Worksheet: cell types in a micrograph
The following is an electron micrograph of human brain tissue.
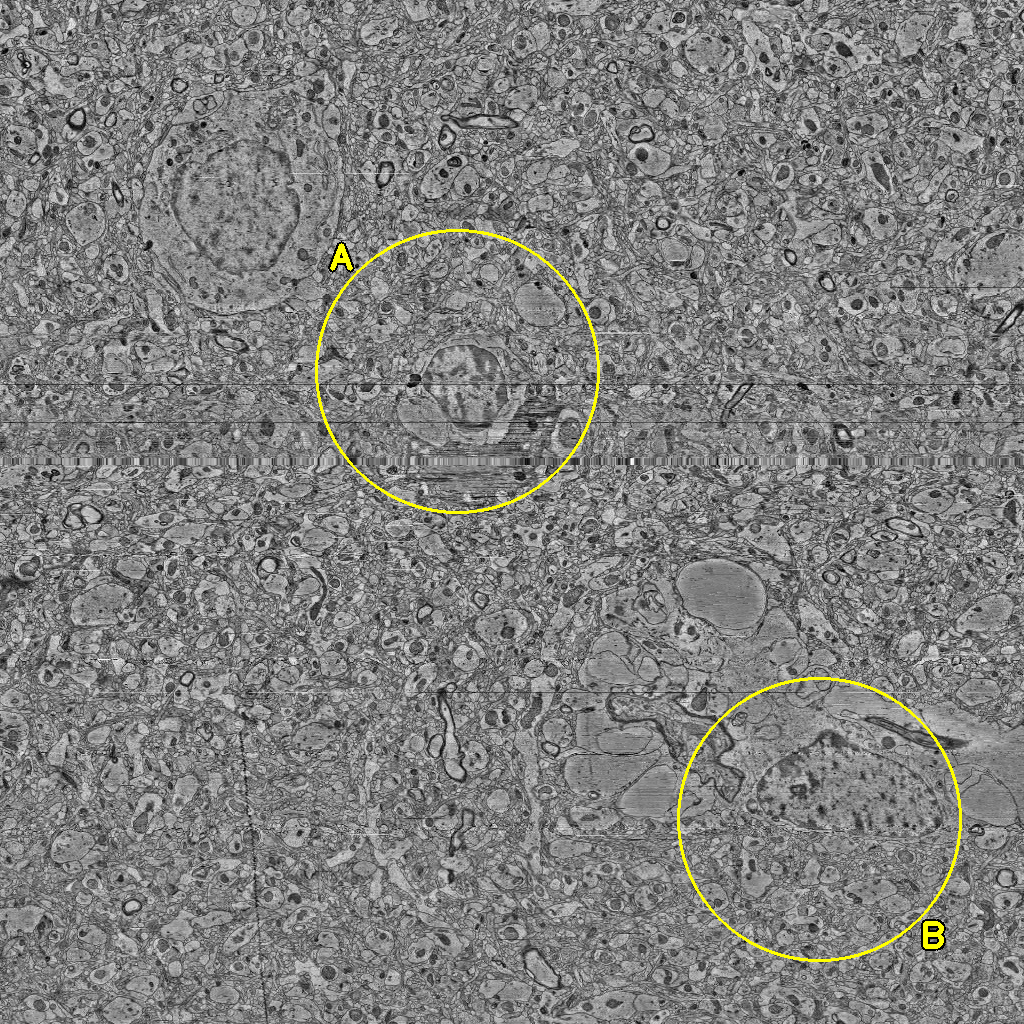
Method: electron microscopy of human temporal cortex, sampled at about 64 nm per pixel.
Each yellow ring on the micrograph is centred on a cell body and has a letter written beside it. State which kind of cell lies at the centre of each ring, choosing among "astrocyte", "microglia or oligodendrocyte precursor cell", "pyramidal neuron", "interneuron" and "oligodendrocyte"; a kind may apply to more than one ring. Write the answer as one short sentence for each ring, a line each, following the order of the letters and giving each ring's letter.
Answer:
Ring A has a microglial cell or oligodendrocyte precursor cell in its centre.
Ring B has a microglial cell or oligodendrocyte precursor cell in its centre.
